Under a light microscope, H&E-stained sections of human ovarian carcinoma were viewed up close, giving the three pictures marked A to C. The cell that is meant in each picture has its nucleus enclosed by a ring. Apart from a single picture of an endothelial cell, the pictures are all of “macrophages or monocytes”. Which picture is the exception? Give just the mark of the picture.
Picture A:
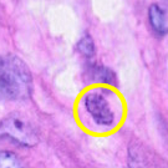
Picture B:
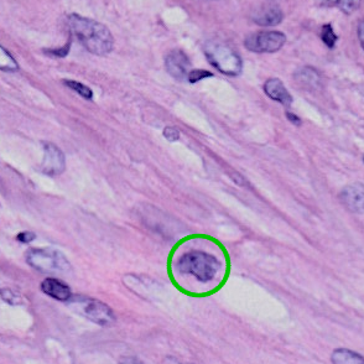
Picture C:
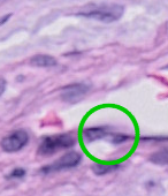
C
